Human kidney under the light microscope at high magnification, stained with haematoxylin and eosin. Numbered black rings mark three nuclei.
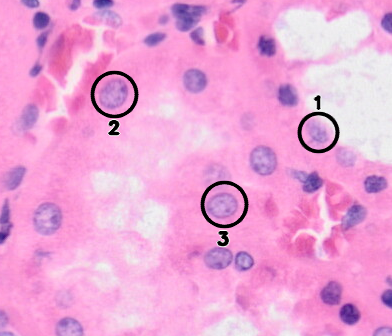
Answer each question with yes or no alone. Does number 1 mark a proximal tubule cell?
no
